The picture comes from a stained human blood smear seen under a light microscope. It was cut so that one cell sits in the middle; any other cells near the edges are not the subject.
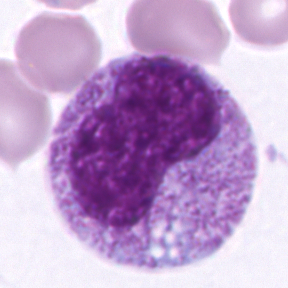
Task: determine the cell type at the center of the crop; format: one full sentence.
Centrally within this crop lies a myelocyte.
